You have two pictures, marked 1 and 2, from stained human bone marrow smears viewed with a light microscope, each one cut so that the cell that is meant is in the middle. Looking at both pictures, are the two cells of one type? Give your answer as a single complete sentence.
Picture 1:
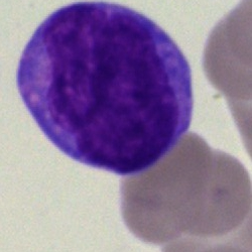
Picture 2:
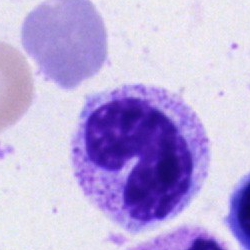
No. Picture 1 shows a blast, but picture 2 shows a metamyelocyte.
